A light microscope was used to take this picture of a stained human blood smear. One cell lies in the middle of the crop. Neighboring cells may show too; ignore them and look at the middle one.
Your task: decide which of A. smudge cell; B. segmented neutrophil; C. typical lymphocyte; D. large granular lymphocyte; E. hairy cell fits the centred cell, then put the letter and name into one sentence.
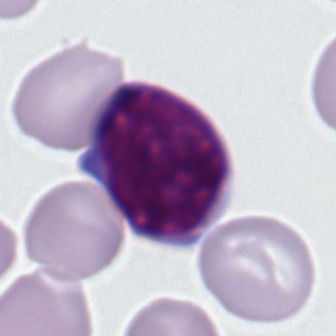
The cell in the middle is correctly identified as a typical lymphocyte in option C.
